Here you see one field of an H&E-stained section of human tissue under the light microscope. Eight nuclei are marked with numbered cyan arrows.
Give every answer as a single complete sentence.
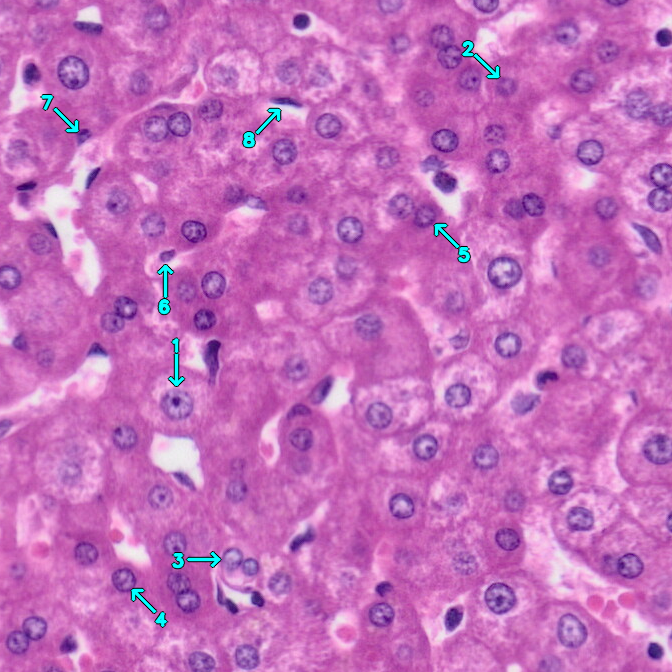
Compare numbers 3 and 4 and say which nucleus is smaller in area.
The smaller nucleus is 3, and 4 covers roughly 1.5 times its area.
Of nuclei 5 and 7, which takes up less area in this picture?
It is nucleus 7; nucleus 5 has about 2 times its area.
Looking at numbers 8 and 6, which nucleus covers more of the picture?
Number 8 is larger; its area is about 1.5 times that of number 6.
